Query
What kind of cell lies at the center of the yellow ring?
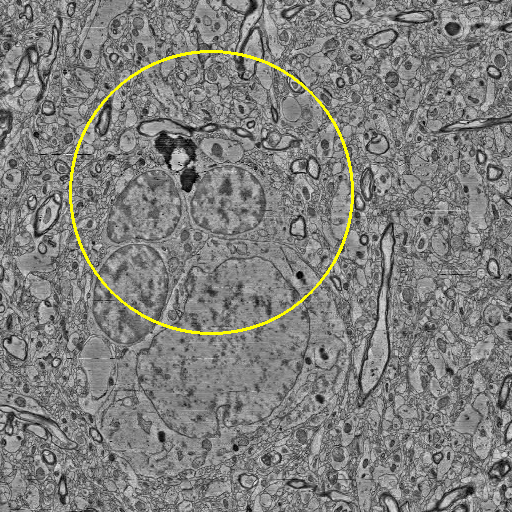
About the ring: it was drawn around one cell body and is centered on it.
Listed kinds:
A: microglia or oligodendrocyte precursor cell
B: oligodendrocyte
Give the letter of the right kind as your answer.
B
